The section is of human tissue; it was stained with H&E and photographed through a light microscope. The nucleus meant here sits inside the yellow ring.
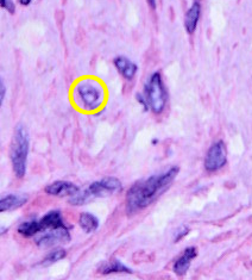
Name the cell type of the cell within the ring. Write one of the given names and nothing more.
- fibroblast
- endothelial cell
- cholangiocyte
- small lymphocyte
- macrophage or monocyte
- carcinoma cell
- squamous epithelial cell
fibroblast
